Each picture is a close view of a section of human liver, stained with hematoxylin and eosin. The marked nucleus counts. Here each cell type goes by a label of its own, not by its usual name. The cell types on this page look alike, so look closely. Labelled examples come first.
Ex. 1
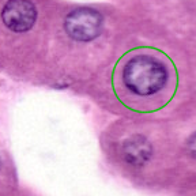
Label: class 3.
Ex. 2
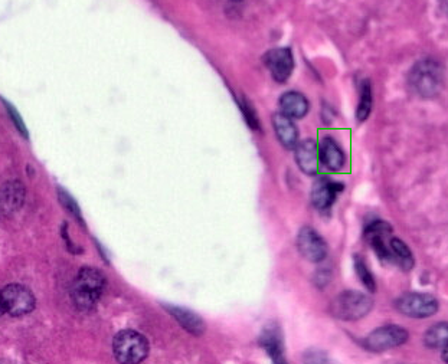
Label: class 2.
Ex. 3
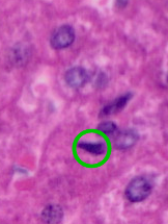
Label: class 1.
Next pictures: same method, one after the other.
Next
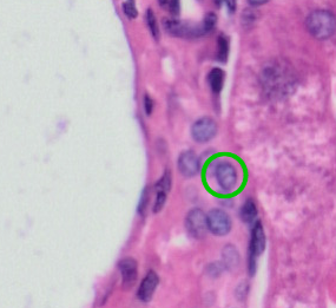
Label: class 2.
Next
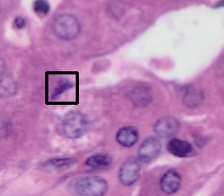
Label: class 1.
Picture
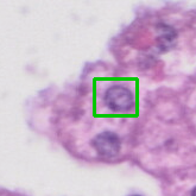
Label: class 3.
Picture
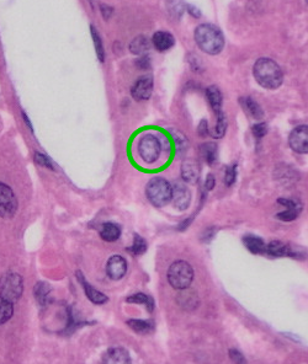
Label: class 2.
